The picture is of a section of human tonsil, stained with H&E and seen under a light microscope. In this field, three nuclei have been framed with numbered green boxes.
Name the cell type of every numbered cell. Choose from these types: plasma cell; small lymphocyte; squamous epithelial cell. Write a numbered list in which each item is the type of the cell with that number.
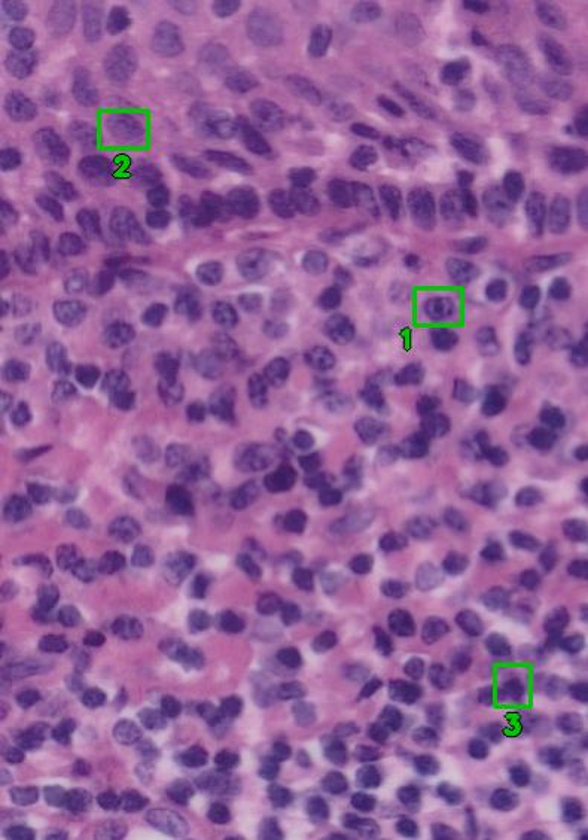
1. plasma cell
2. squamous epithelial cell
3. small lymphocyte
